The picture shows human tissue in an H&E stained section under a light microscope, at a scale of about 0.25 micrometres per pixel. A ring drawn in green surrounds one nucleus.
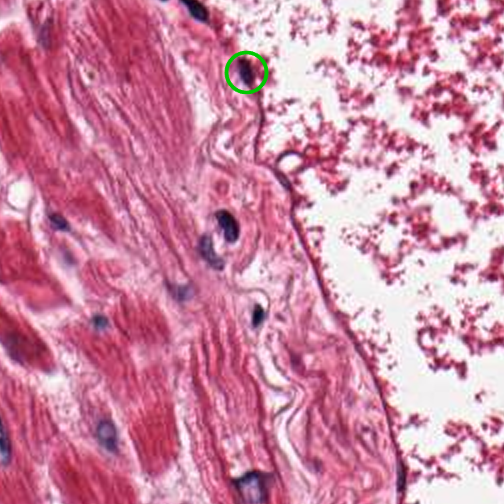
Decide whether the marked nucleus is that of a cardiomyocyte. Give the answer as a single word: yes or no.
no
